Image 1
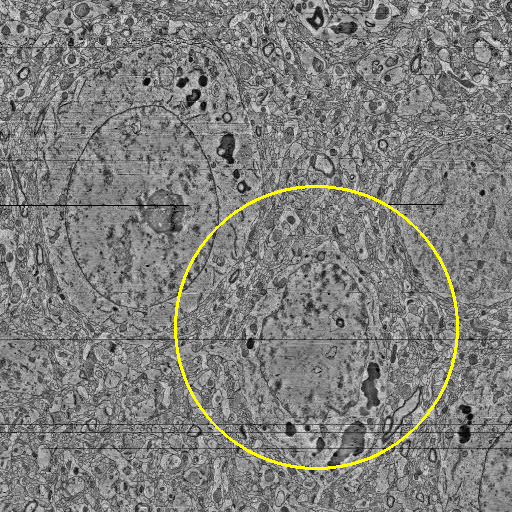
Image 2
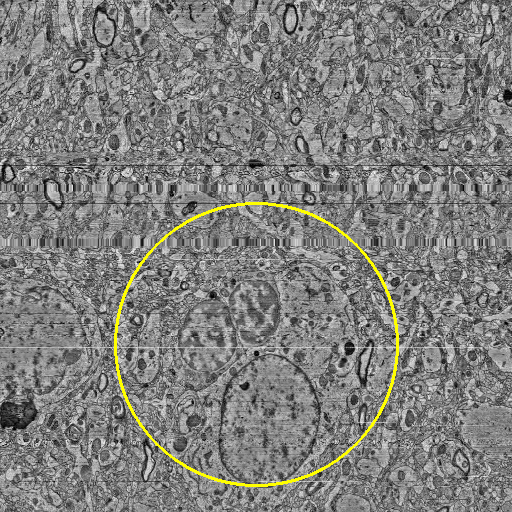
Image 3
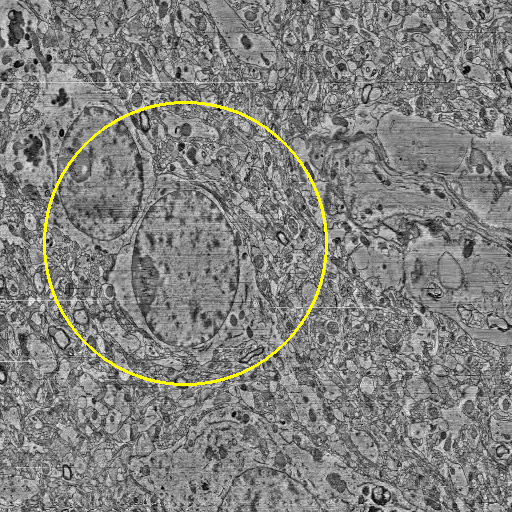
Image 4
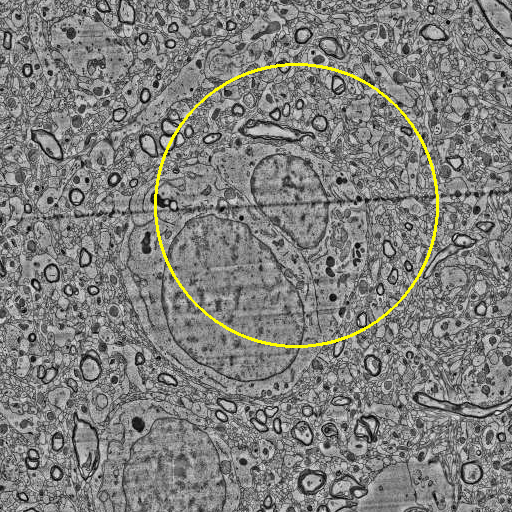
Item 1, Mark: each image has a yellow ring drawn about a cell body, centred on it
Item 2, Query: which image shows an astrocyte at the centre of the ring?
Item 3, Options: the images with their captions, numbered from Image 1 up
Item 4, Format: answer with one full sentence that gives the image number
My answer is image 3, where the cell at the ring's centre fits.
